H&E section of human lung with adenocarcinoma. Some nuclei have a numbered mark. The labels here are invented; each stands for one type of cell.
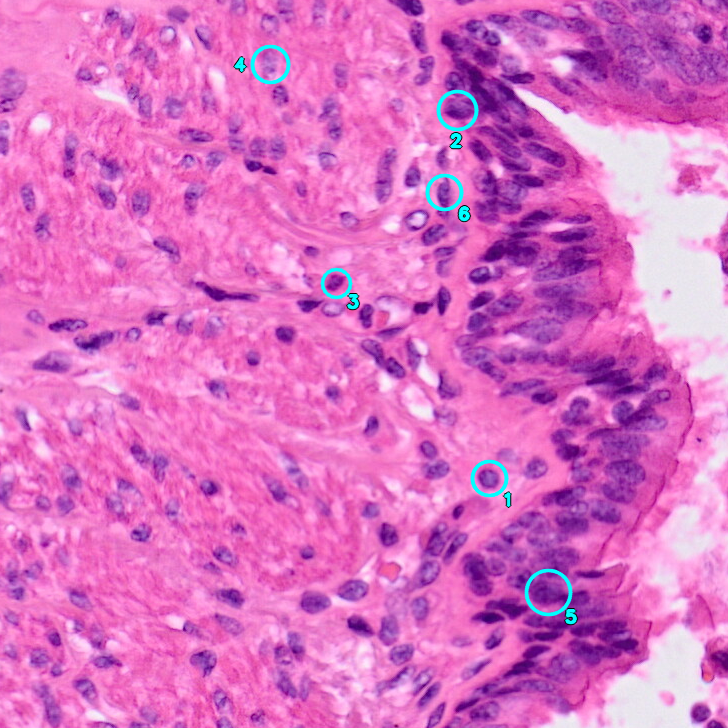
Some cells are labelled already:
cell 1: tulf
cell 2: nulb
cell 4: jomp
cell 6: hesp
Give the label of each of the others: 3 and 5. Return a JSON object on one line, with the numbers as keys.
{"3": "tulf", "5": "nulb"}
